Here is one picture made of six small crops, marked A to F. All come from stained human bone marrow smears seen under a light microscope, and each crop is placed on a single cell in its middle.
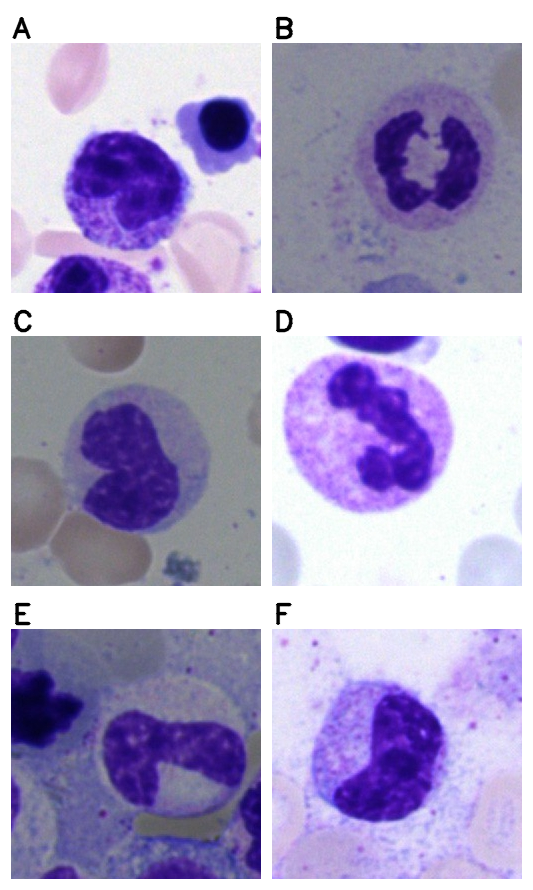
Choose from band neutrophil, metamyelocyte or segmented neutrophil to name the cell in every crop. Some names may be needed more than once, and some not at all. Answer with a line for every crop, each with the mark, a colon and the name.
A: metamyelocyte
B: segmented neutrophil
C: metamyelocyte
D: segmented neutrophil
E: band neutrophil
F: metamyelocyte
